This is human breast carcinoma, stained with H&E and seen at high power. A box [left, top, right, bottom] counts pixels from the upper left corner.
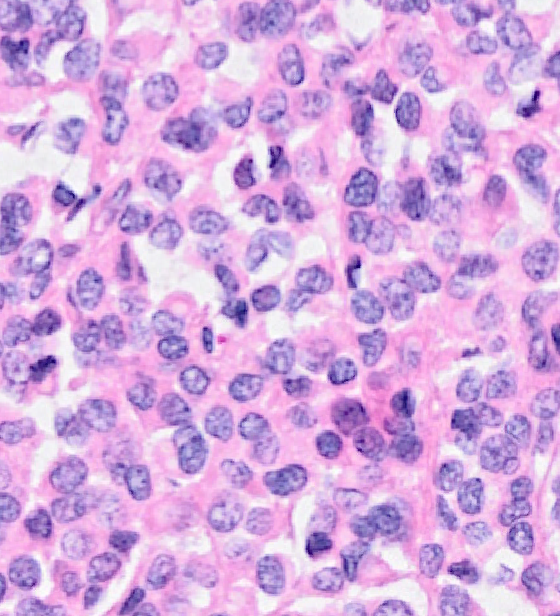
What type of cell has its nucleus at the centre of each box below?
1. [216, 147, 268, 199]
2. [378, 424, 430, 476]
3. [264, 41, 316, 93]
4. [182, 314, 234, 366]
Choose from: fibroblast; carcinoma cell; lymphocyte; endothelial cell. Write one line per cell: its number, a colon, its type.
1: carcinoma cell
2: carcinoma cell
3: carcinoma cell
4: endothelial cell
